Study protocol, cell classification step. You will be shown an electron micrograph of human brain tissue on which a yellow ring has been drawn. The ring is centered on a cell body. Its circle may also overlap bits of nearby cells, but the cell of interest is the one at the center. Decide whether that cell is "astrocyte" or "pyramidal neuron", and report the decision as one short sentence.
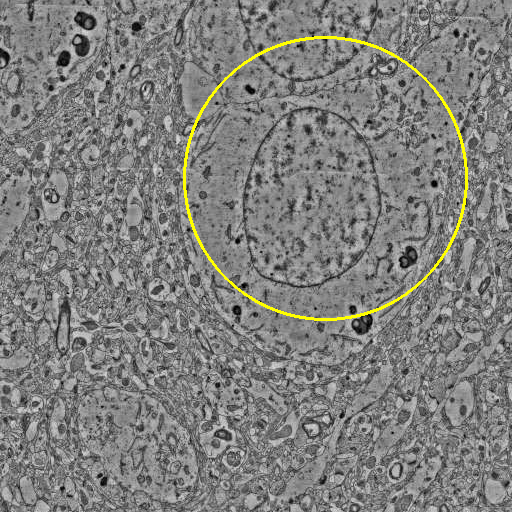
The marked cell is a pyramidal neuron.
